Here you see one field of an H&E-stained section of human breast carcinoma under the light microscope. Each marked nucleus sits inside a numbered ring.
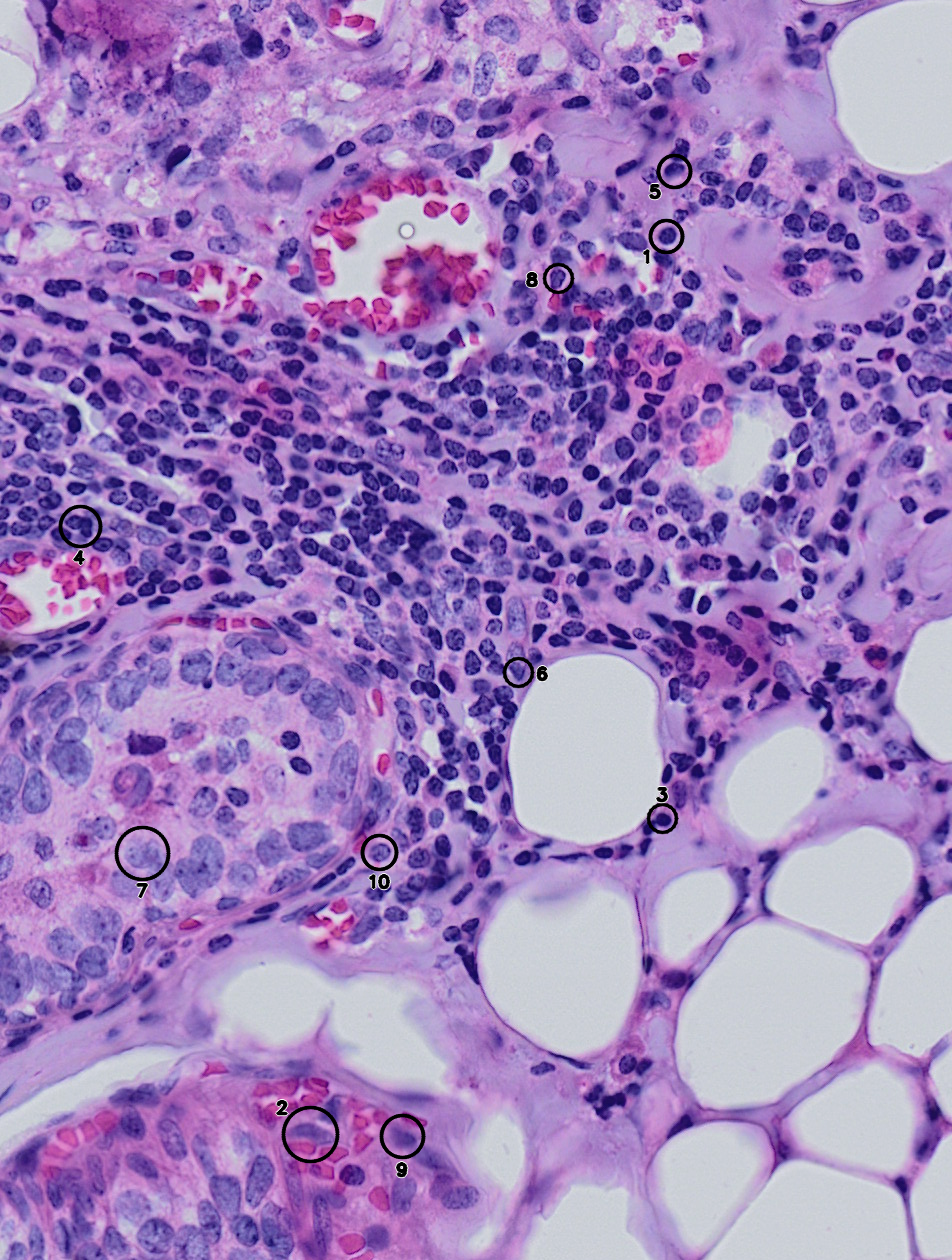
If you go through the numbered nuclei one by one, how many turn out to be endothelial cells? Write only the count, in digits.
2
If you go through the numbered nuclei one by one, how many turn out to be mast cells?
1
